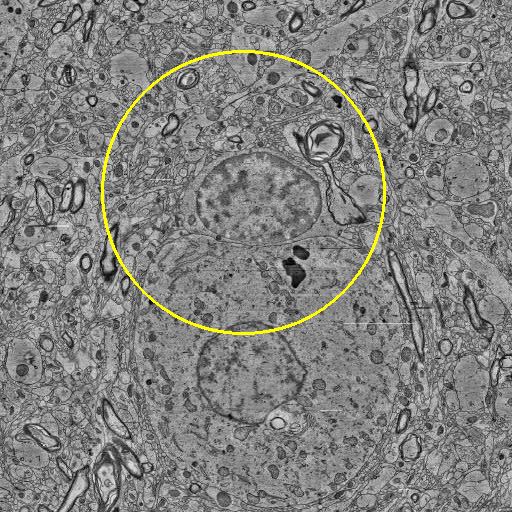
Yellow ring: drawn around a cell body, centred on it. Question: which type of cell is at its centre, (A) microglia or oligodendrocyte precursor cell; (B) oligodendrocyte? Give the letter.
B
